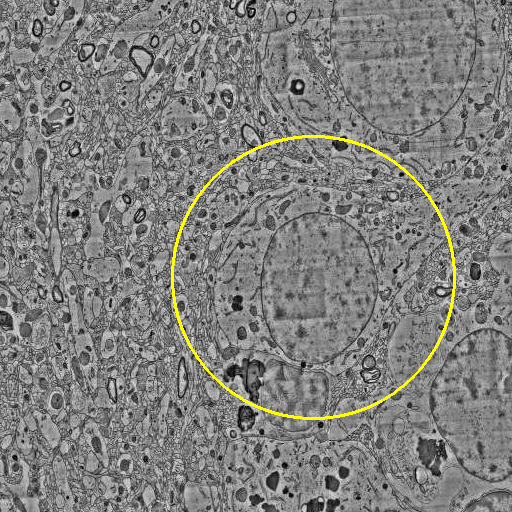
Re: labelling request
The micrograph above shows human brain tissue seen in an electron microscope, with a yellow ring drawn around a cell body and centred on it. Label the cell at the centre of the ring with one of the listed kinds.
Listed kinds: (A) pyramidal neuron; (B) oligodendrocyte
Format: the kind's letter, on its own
A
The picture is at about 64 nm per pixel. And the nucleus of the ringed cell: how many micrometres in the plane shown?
In this plane, about 10 micrometres in length and 8 in width.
